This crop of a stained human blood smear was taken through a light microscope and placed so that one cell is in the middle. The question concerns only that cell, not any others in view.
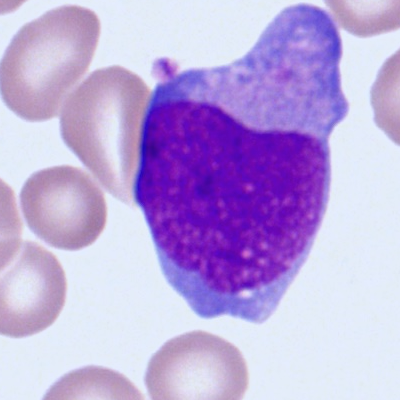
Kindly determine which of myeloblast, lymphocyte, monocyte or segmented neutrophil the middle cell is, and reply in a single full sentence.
By classification, the middle cell of this crop is a myeloblast.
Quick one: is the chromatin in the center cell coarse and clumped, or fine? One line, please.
The chromatin here is fine and lacks any coarse clumps.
